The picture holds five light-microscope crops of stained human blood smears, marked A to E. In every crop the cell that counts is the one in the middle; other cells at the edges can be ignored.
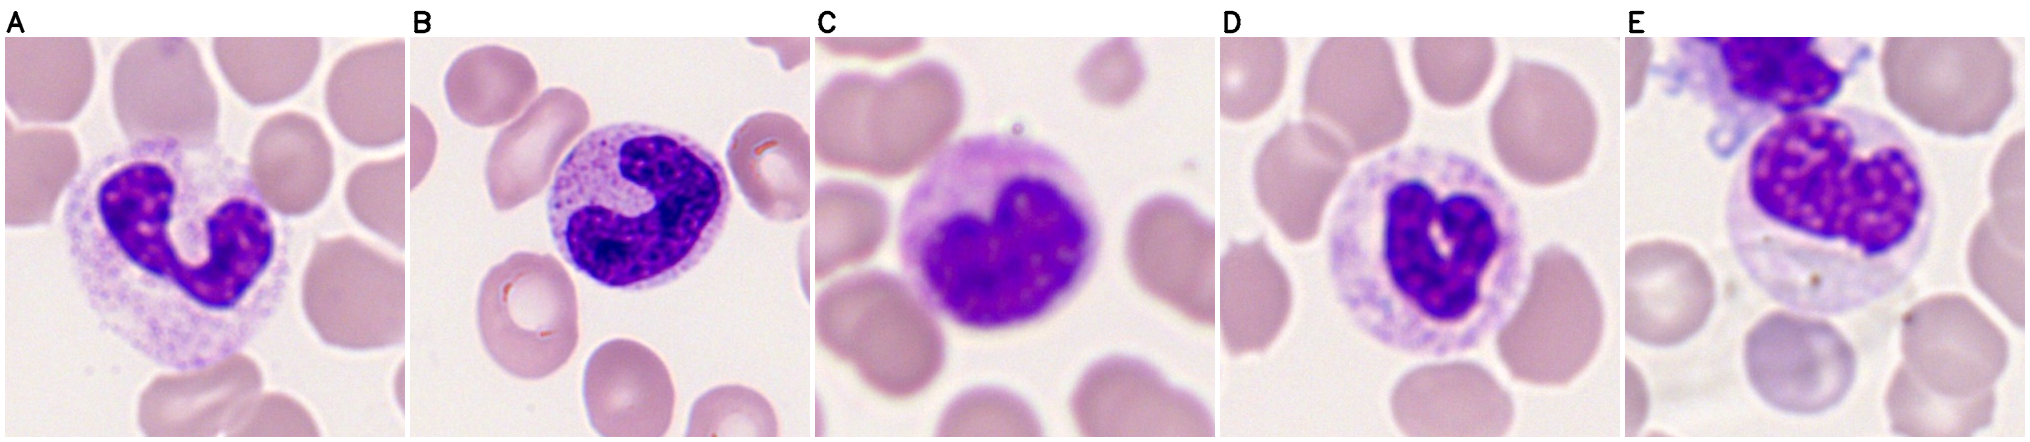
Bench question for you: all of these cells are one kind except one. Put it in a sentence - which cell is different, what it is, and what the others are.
Among the crops, crop D is unique in showing a segmented neutrophil; the others show band neutrophils.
